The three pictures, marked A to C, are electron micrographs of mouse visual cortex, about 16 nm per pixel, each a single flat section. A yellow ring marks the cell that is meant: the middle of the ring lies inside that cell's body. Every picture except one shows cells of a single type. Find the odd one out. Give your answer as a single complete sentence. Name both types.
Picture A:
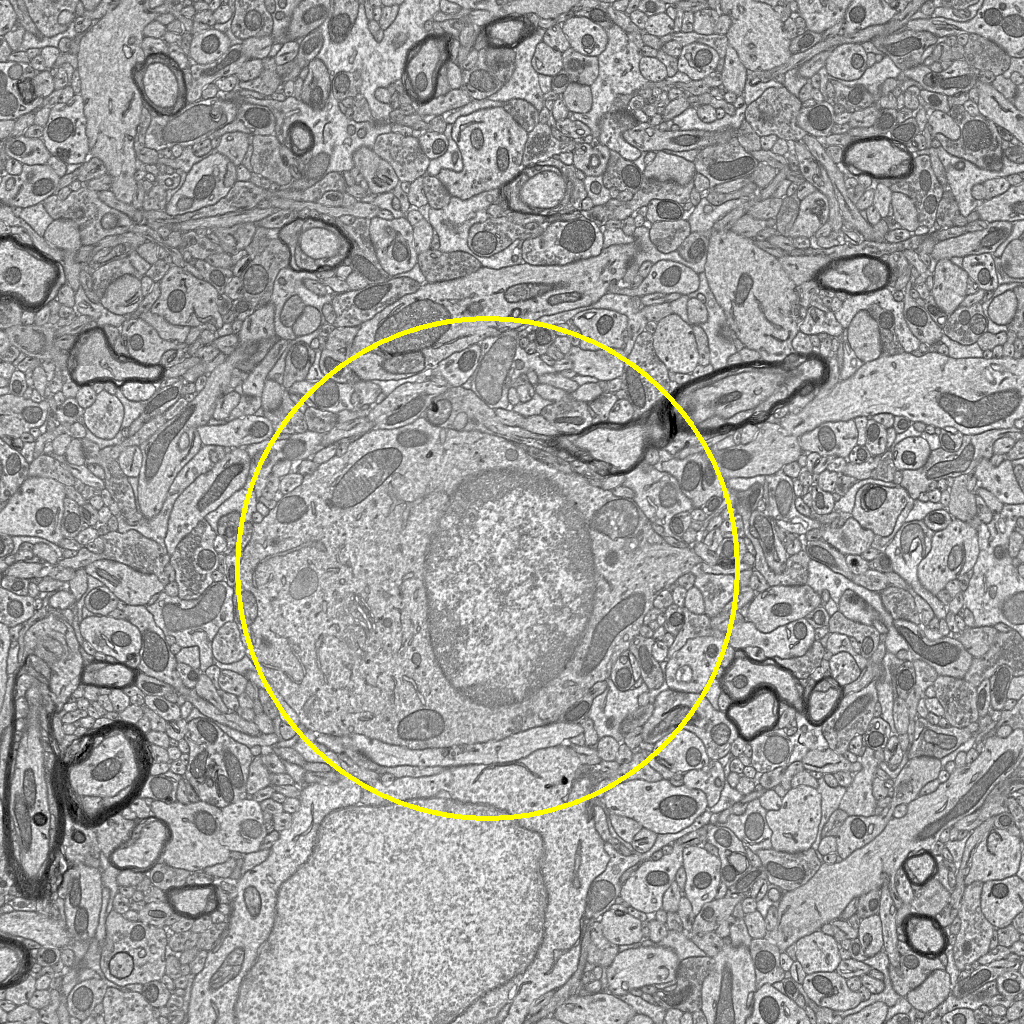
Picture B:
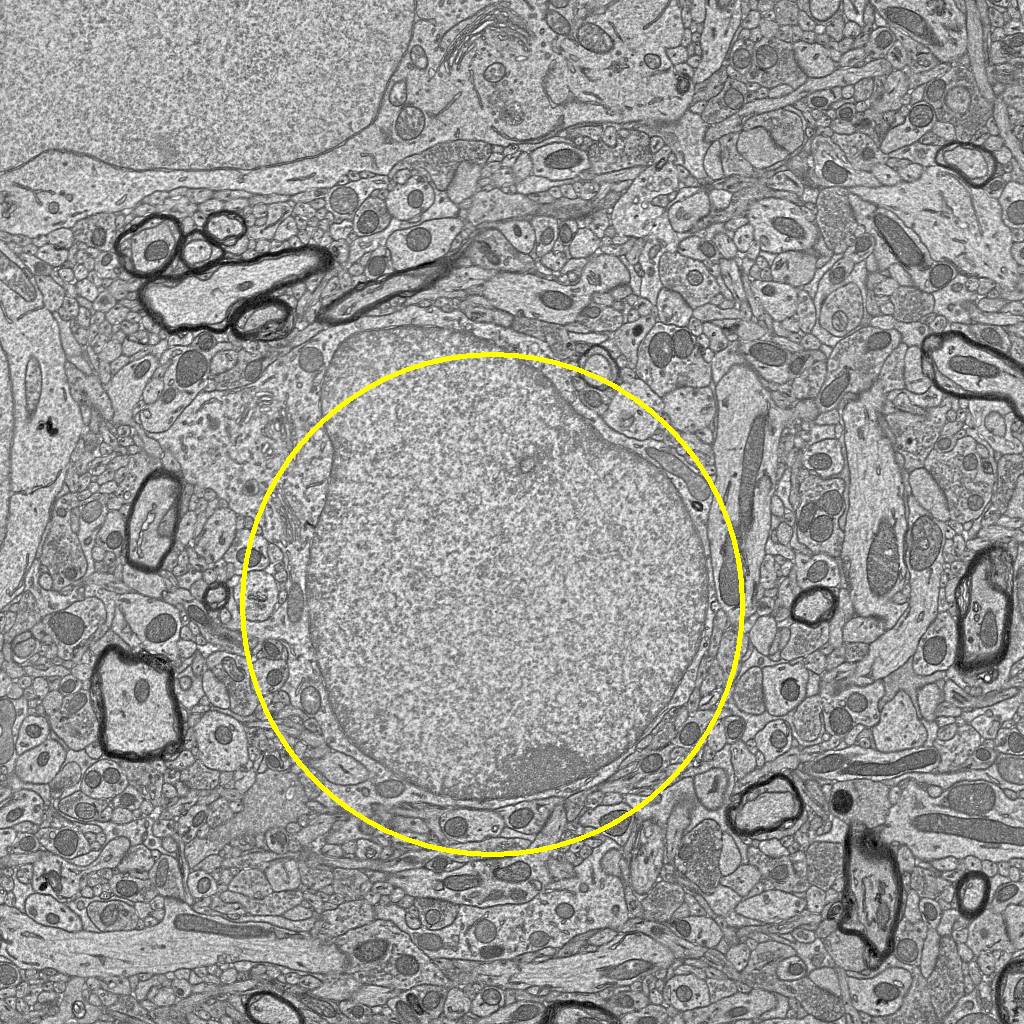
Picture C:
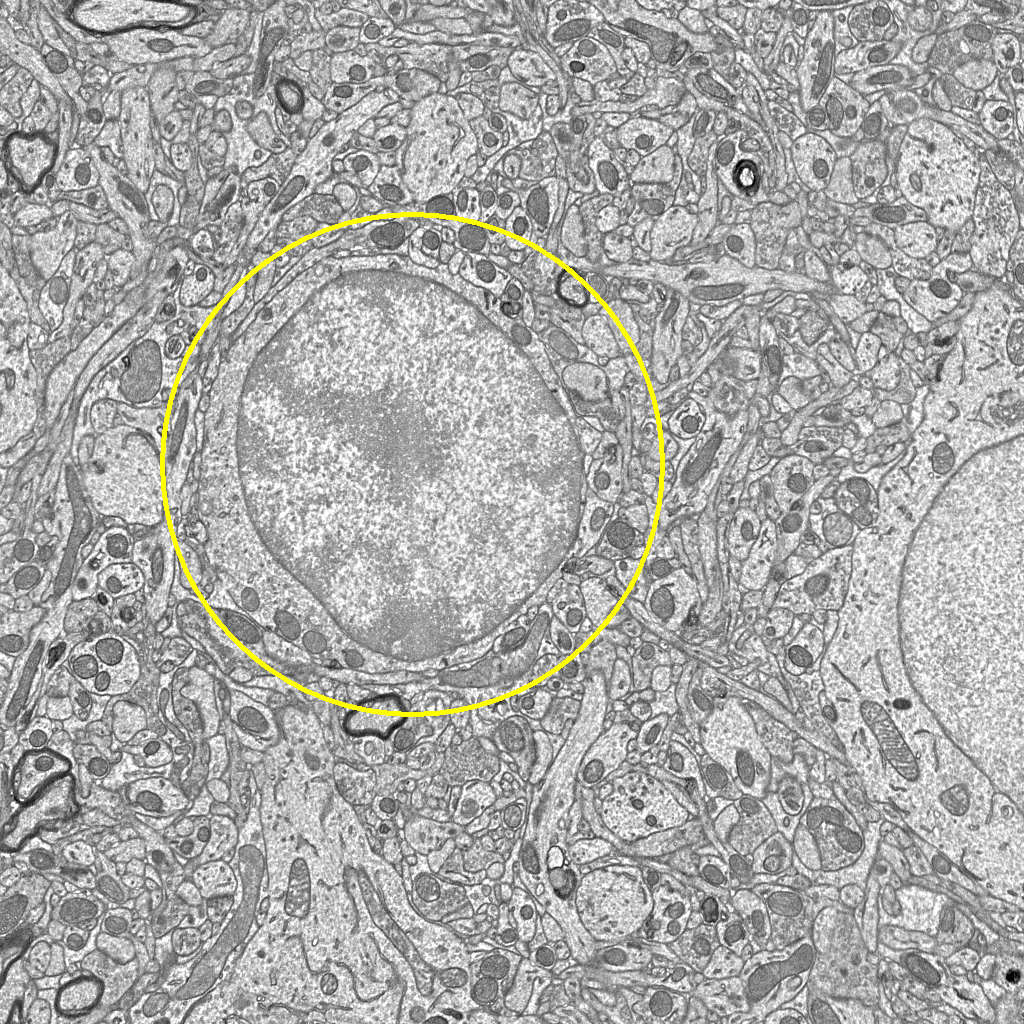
Picture B differs, because its cell is an astrocyte and the rest are oligodendrocytes.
